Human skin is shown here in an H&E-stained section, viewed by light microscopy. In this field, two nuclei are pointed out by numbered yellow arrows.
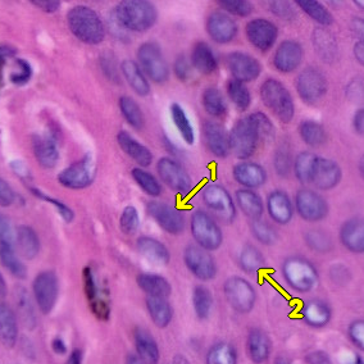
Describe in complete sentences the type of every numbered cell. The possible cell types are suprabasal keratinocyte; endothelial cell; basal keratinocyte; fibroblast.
Cell 1 is a basal keratinocyte and cell 2 is a suprabasal keratinocyte.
